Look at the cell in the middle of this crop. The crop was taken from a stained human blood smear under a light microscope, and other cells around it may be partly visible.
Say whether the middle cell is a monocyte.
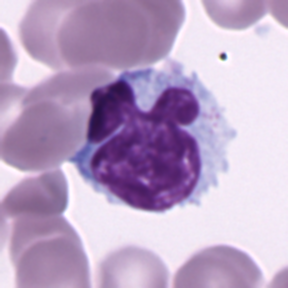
yes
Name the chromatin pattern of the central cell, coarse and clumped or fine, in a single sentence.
Check the chromatin: it is fine and not coarsely clumped.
